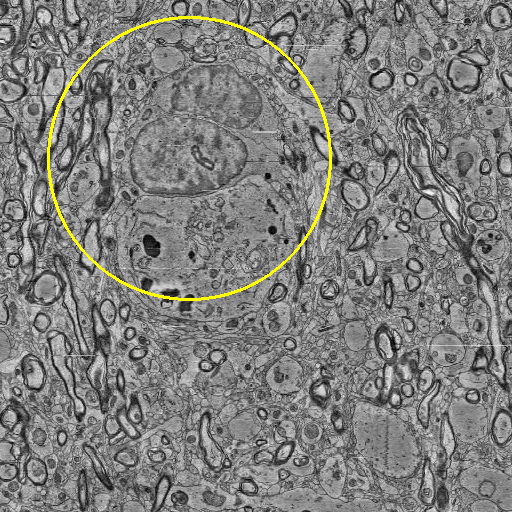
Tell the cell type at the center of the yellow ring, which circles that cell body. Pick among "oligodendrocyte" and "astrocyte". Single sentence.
The ring is centered on the body of an oligodendrocyte.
